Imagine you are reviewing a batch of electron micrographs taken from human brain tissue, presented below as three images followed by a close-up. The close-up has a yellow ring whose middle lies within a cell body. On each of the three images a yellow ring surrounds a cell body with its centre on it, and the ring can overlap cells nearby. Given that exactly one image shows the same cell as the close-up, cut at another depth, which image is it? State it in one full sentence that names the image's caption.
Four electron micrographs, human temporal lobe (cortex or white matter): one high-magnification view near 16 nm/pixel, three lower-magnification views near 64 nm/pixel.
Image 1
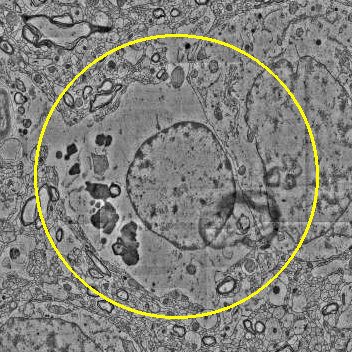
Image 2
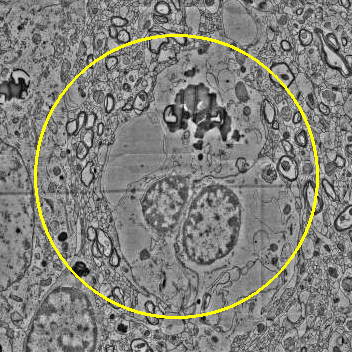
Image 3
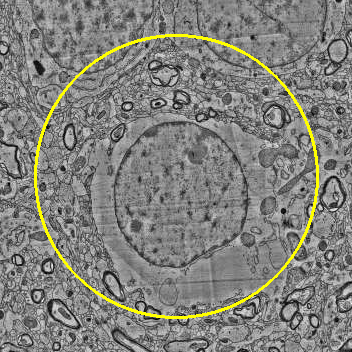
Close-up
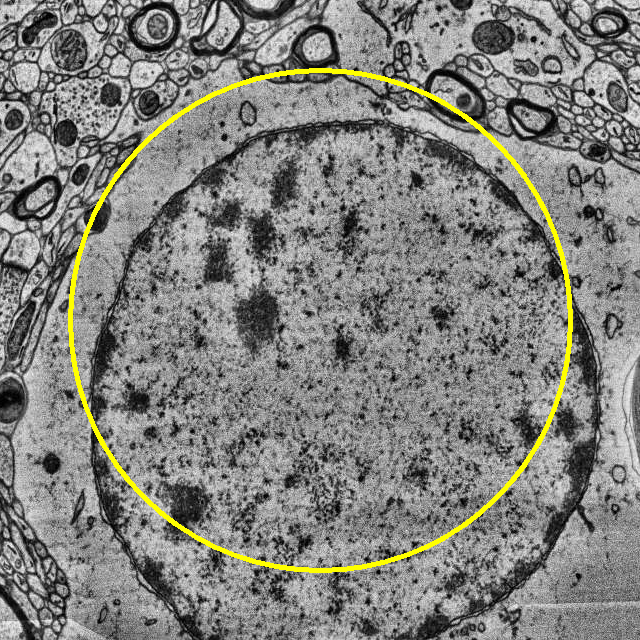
The cell visible in the close-up is the one ringed in Image 3.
